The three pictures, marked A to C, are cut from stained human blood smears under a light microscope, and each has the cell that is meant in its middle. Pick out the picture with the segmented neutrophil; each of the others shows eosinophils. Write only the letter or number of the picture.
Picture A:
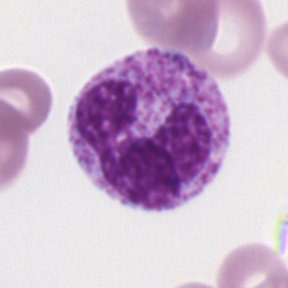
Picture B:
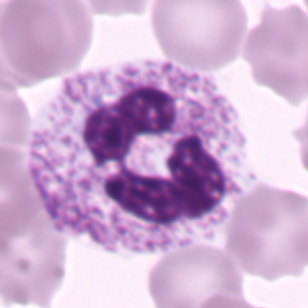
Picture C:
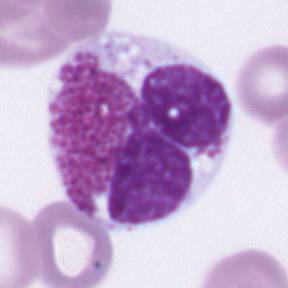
B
